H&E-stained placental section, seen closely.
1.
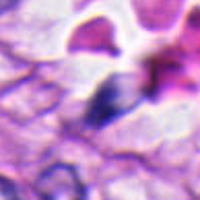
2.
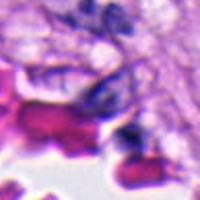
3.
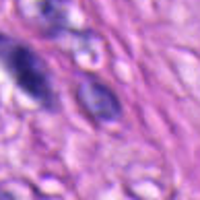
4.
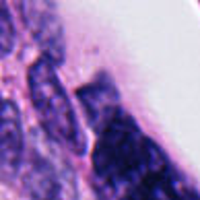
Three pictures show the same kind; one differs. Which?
Picture 4: a syncytial knot, while the others are vascular myocytes.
